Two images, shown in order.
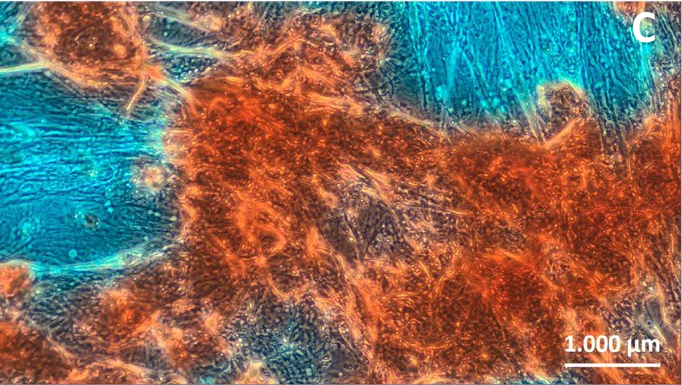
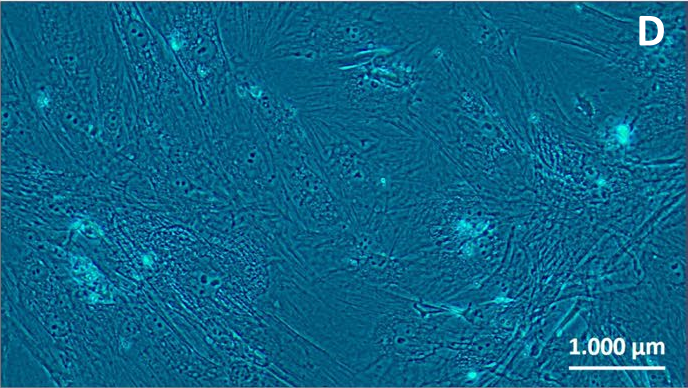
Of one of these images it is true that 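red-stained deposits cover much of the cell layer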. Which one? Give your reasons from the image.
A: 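Second image: the whole monolayer appears blue-green with no red stain. First image: broad red-orange stained patches cover the center and lower part of the field.
Hence: the first image.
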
